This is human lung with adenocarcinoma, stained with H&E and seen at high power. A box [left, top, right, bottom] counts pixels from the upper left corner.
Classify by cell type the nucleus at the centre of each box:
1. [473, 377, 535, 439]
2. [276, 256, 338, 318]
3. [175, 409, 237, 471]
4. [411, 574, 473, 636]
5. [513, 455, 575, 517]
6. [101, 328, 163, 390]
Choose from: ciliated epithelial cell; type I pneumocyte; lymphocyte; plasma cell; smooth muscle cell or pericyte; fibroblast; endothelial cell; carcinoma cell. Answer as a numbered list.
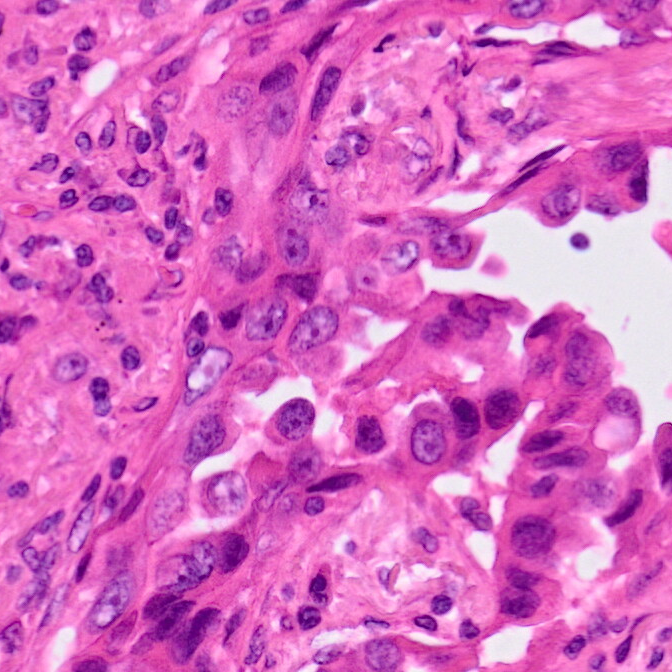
1. carcinoma cell
2. carcinoma cell
3. carcinoma cell
4. lymphocyte
5. carcinoma cell
6. plasma cell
